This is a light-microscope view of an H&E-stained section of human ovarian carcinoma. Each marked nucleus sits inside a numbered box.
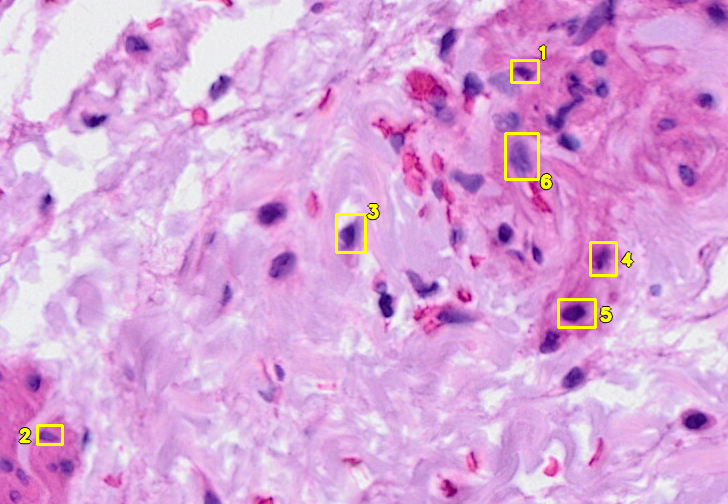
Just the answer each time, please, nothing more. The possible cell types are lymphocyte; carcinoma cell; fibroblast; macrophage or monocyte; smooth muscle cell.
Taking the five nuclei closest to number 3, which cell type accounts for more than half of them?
macrophage or monocyte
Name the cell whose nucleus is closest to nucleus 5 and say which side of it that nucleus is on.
a smooth muscle cell; below and to the left of nucleus 5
